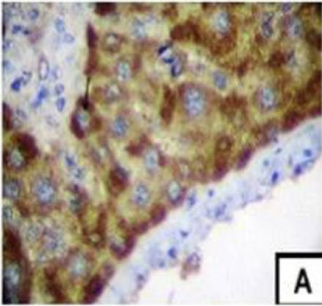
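This is liver tissue made of cords of hepatocytes bordering a vessel lumen. The hepatocytes are large polygonal cells with round, centrally placed blue nuclei, several with a visible nucleolus. Their cytoplasm is widely stained brown, in many cells deeply so, giving the cords a mottled brown appearance. Along the vessel lies a lining of flattened cells with small blue nuclei and no brown stain.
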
